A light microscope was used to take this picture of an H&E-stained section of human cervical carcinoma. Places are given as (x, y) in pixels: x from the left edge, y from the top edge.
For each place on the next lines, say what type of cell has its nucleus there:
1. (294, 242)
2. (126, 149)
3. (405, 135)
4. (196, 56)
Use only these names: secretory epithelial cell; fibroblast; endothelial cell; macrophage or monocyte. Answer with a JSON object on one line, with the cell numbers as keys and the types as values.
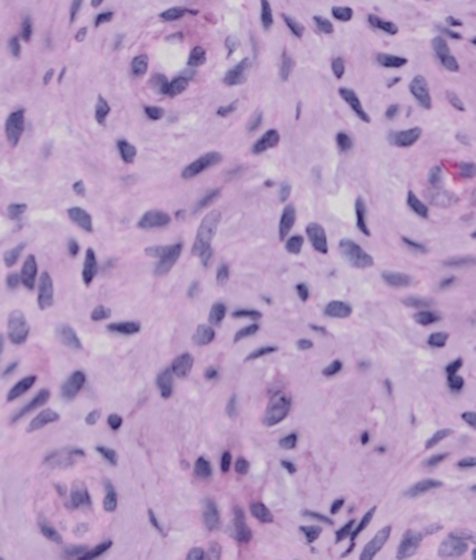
{"1": "fibroblast", "2": "fibroblast", "3": "fibroblast", "4": "endothelial cell"}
